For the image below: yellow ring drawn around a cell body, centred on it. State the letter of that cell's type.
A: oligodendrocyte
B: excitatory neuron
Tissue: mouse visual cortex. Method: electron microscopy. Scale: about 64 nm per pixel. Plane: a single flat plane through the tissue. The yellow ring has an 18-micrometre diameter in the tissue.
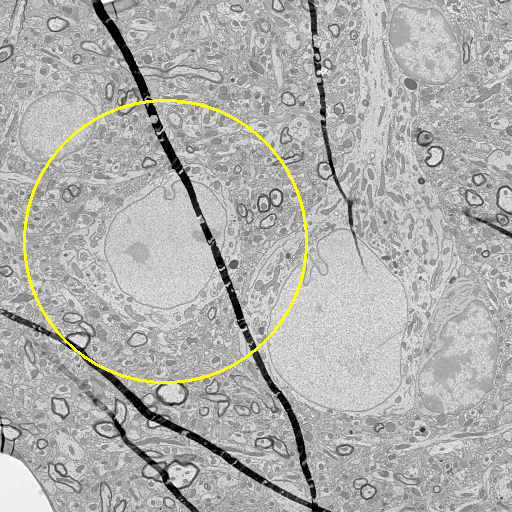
B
